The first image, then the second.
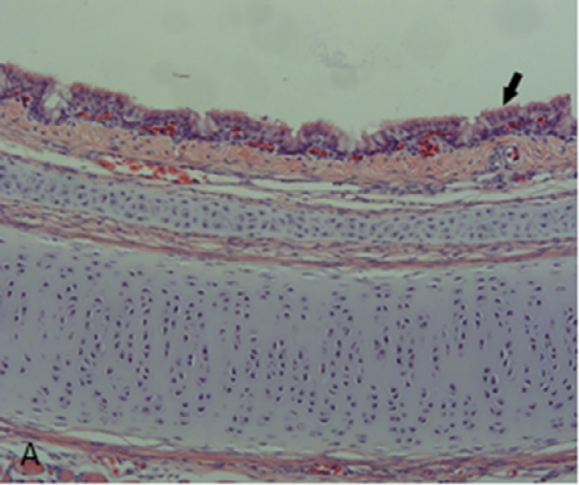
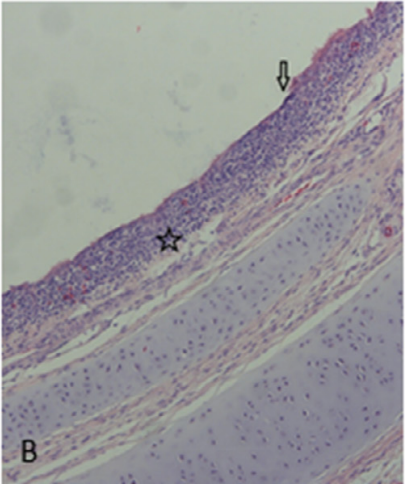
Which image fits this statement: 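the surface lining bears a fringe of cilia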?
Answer: The first image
